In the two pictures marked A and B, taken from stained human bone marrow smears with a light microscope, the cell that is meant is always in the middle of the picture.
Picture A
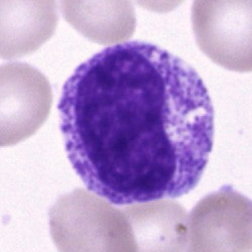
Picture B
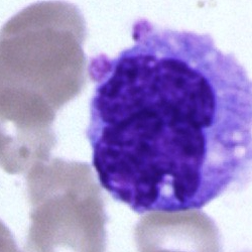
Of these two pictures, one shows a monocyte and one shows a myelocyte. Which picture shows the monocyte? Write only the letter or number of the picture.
B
